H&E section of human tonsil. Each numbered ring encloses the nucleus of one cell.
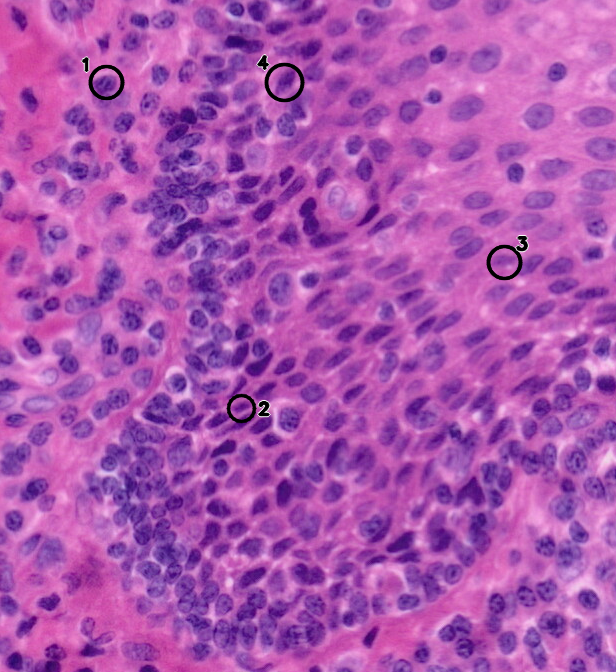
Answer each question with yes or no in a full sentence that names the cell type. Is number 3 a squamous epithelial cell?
Yes, the cell at marker 3 is a squamous epithelial cell.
